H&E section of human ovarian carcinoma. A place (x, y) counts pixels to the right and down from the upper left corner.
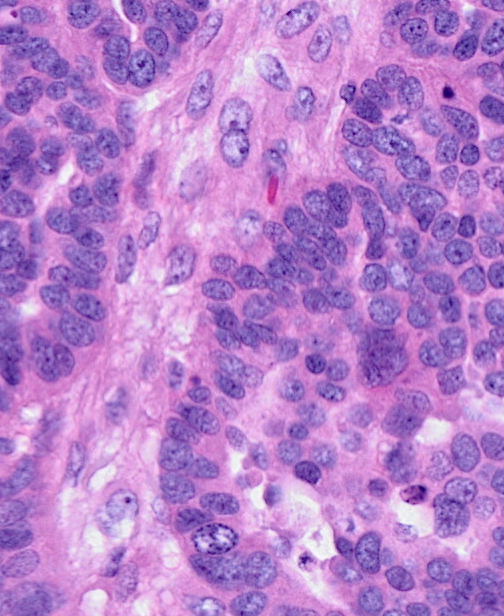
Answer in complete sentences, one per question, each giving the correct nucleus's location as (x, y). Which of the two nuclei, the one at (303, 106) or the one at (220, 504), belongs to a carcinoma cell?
Rather than the other nucleus, the one at (220, 504) belongs to a carcinoma cell.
